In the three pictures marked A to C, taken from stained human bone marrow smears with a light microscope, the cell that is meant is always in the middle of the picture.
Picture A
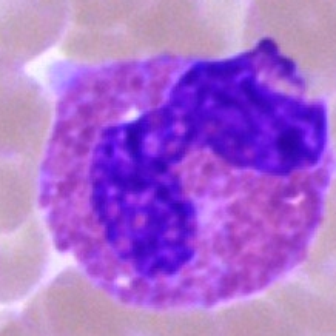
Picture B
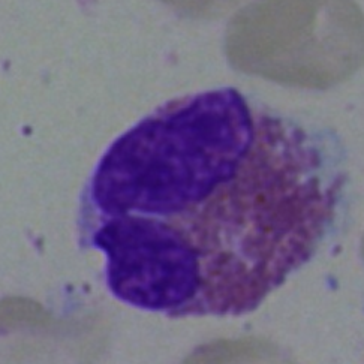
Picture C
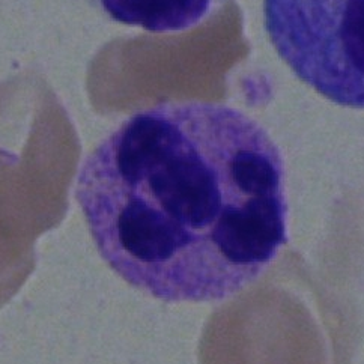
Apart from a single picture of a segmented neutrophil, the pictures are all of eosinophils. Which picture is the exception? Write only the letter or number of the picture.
C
